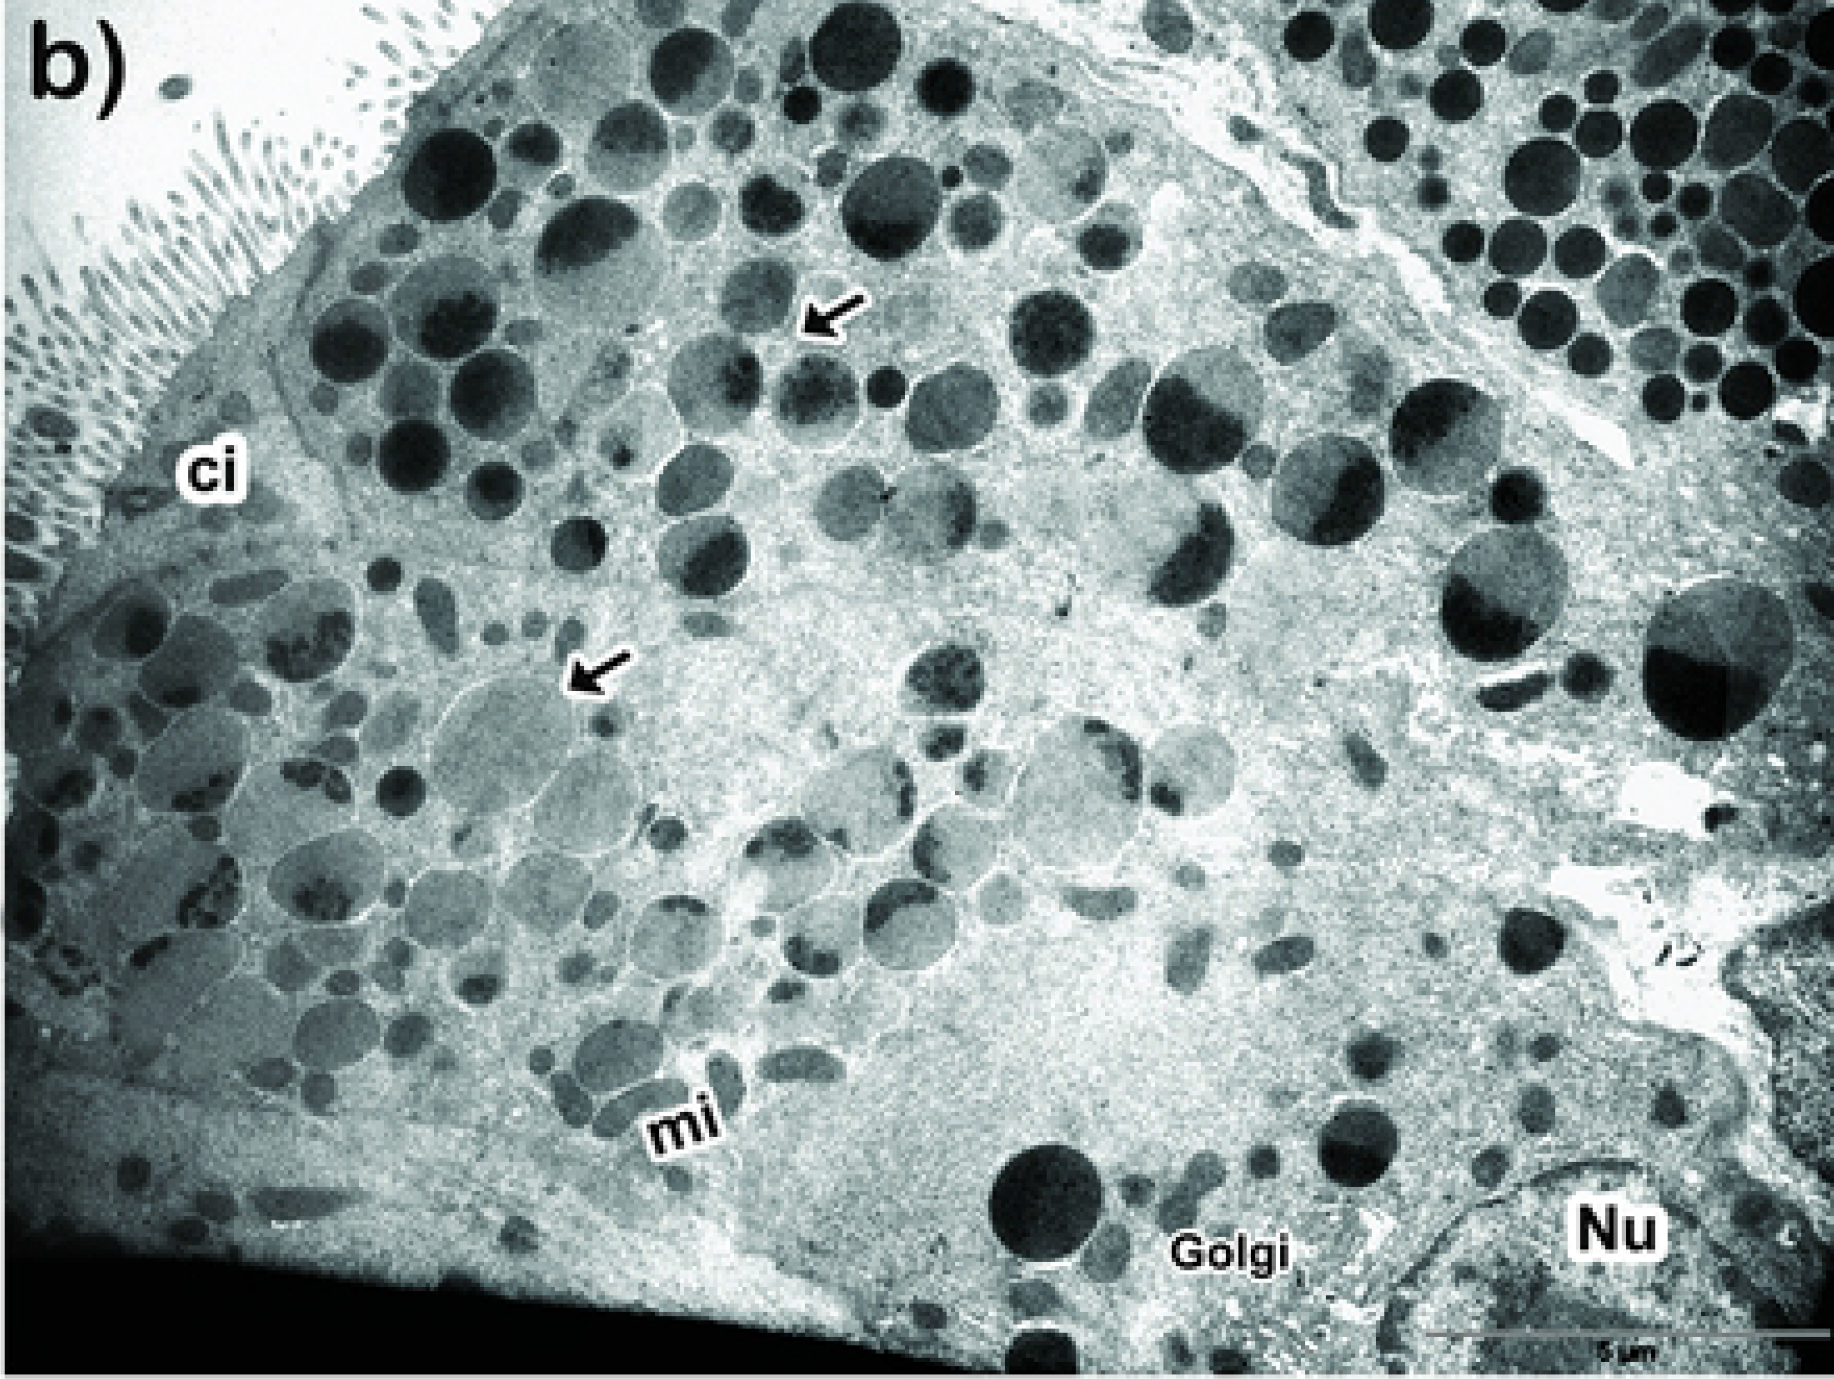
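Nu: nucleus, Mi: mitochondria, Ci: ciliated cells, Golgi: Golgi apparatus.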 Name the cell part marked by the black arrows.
electron lucid granules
